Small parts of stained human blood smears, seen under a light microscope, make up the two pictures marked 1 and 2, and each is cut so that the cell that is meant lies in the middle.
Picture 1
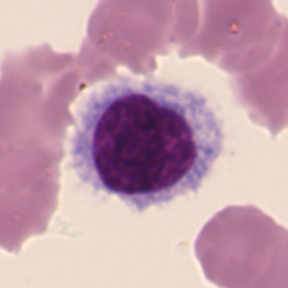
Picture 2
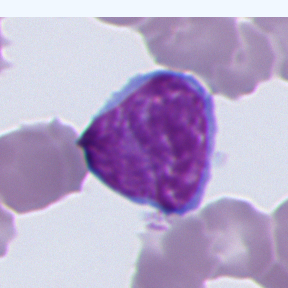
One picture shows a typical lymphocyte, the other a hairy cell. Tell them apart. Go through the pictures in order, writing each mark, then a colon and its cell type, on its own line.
1: hairy cell
2: typical lymphocyte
